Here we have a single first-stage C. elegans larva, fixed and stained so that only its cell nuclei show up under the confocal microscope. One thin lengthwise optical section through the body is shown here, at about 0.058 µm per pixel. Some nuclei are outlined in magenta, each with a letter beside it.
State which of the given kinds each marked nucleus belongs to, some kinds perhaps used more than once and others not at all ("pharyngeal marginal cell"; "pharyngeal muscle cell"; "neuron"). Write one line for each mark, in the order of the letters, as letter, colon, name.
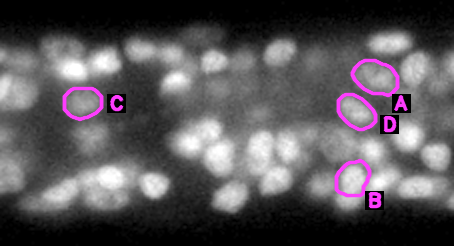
A: pharyngeal marginal cell
B: neuron
C: neuron
D: pharyngeal marginal cell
